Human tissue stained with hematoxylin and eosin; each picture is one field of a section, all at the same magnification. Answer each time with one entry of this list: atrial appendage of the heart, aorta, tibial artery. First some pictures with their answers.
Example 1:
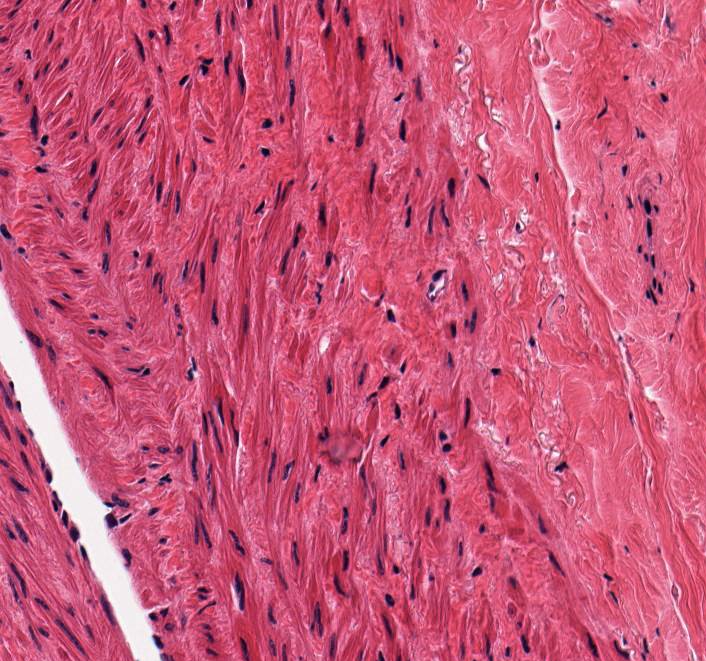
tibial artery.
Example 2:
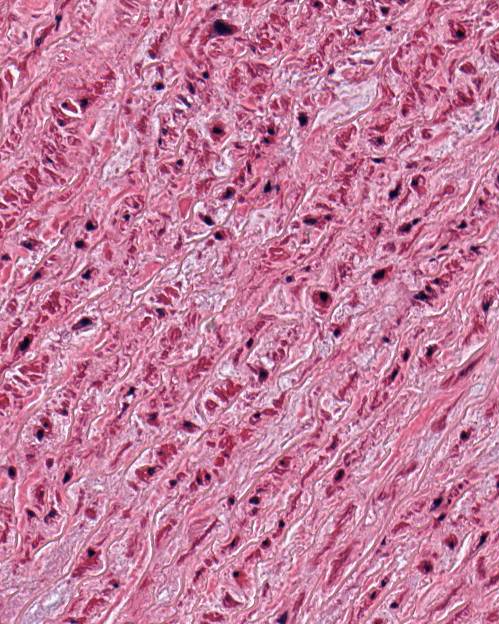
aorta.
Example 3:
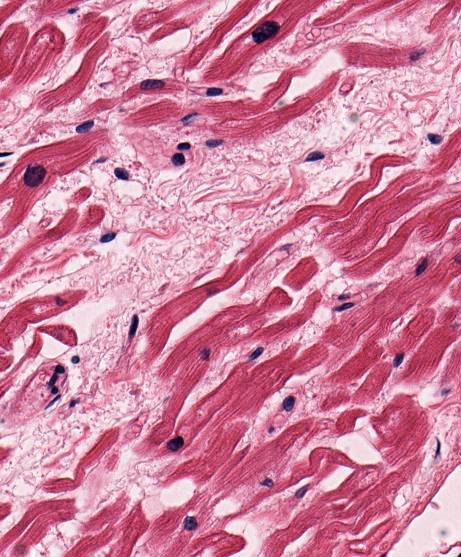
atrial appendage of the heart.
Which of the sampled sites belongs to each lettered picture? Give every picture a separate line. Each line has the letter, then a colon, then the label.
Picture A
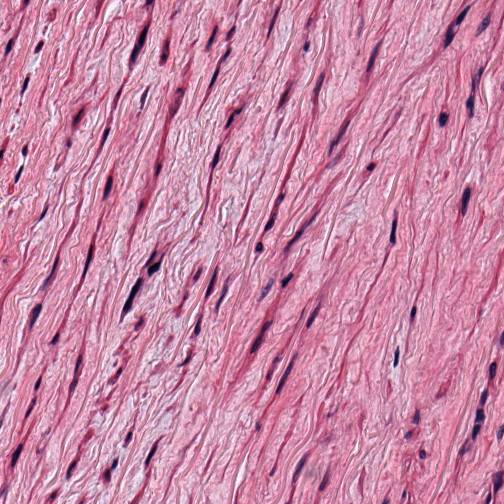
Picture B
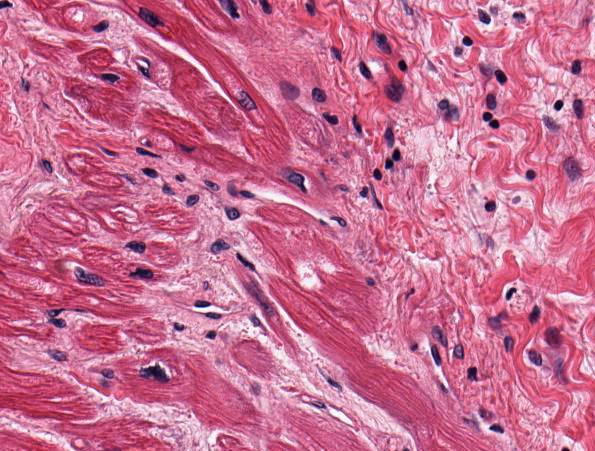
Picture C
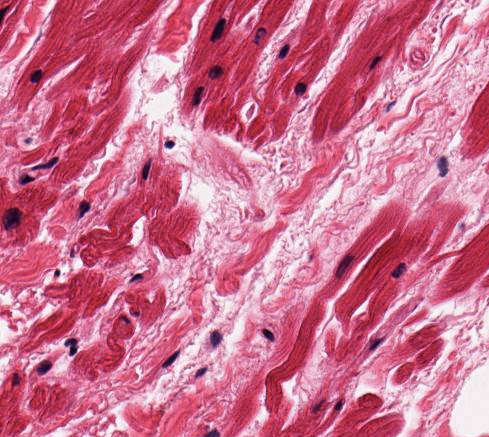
A: aorta.
B: atrial appendage of the heart.
C: atrial appendage of the heart.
